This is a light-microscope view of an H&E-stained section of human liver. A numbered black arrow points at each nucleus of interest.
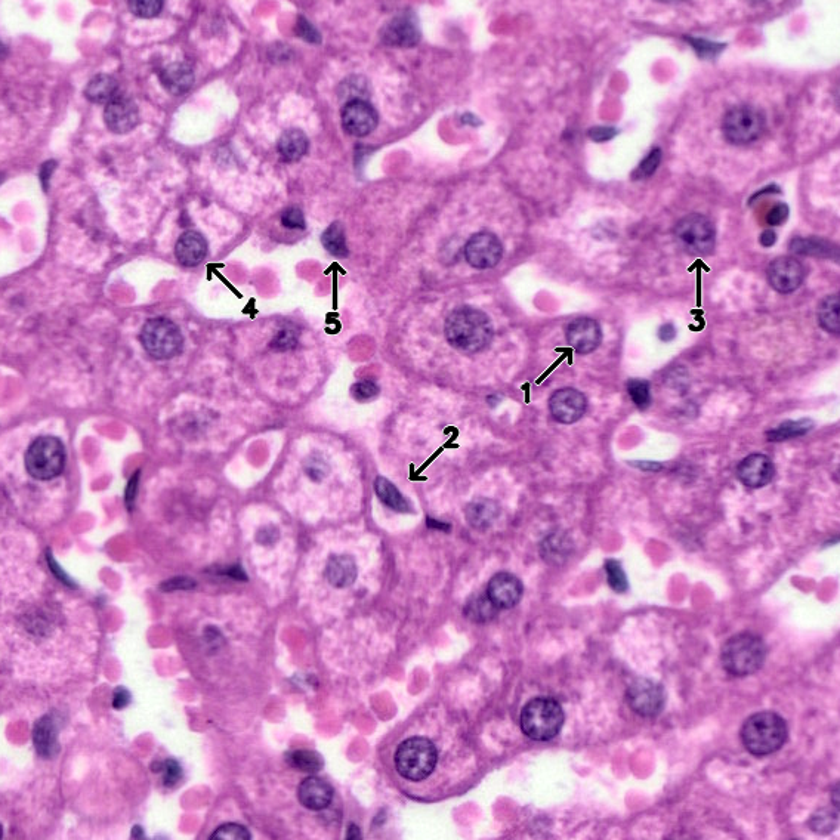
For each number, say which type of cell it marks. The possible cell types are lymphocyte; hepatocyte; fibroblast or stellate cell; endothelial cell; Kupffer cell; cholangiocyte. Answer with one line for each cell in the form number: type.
1: hepatocyte
2: Kupffer cell
3: hepatocyte
4: hepatocyte
5: endothelial cell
